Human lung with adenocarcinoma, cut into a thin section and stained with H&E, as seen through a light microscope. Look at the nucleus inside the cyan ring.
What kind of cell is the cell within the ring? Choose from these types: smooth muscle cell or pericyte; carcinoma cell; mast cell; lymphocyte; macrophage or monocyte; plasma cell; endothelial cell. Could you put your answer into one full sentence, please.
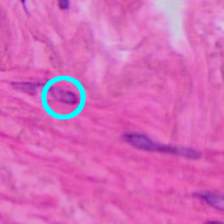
Cytologically, the cell within the ring is to be regarded as a smooth muscle cell or pericyte.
